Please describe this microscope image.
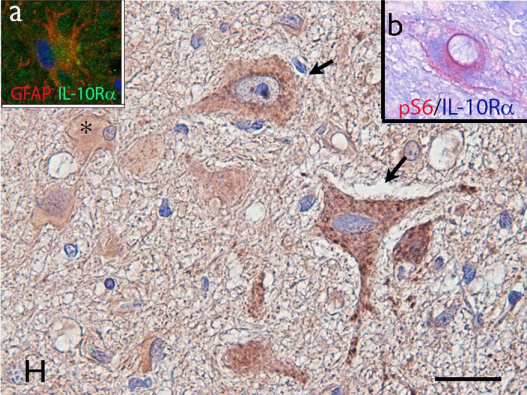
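Dysmorphic neurons in a dysplastic brain area fill this field: huge cell bodies with thick, tapering processes and coarse granular brown cytoplasm. A rounded large cell with paler, glassy brown cytoplasm and no thick processes sits at the upper left, resembling a giant cell. In the corner inserts, a star-shaped astrocyte shows red fibres with green overlap, and another large cell shows a red ring of cytoplasm around a pale nucleus on a blue background.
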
